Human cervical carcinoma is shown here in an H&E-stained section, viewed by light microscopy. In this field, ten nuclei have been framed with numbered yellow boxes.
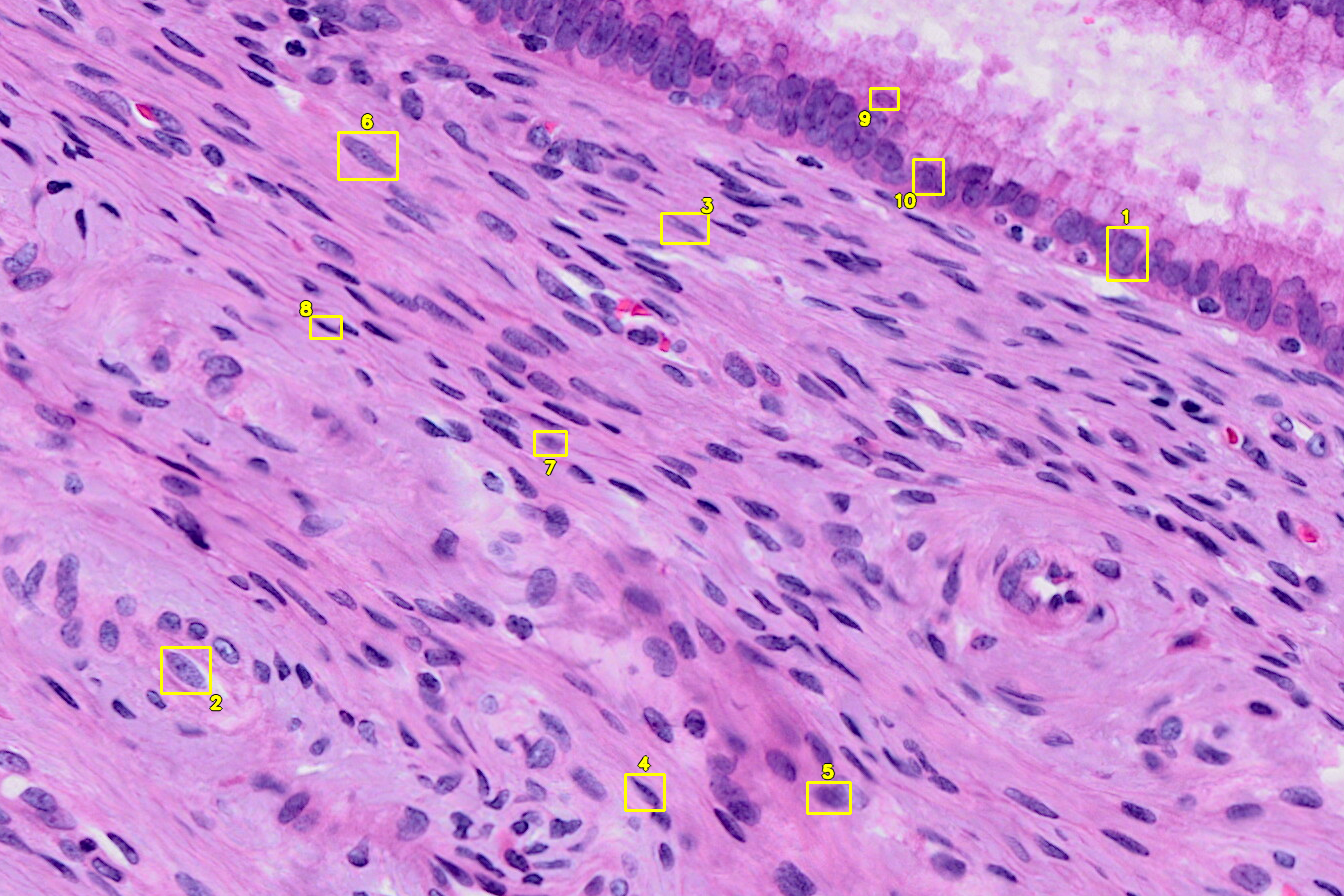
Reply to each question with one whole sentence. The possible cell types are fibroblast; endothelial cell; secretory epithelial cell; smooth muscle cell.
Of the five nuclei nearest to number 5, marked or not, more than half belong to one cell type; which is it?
The majority of the five nuclei closest to number 5 belong to fibroblasts.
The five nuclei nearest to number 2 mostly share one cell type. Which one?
Smooth muscle cells make up most of the five nuclei closest to number 2.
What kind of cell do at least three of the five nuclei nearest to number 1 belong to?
Of the five nuclei nearest to number 1, most belong to secretory epithelial cells.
